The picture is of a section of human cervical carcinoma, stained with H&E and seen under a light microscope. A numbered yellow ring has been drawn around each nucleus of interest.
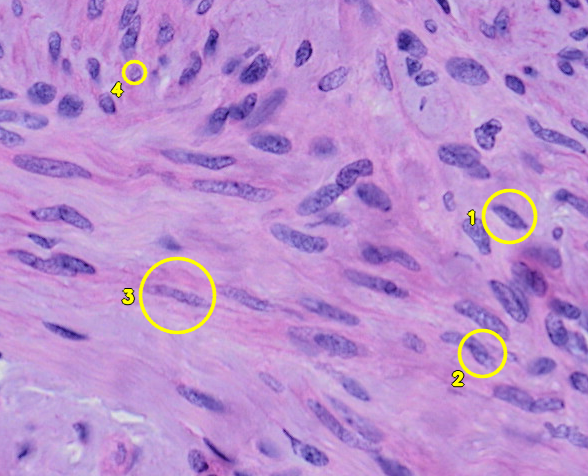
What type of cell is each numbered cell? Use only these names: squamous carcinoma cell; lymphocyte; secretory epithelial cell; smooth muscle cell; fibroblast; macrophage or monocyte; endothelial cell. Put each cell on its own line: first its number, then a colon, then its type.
1: fibroblast
2: smooth muscle cell
3: smooth muscle cell
4: smooth muscle cell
